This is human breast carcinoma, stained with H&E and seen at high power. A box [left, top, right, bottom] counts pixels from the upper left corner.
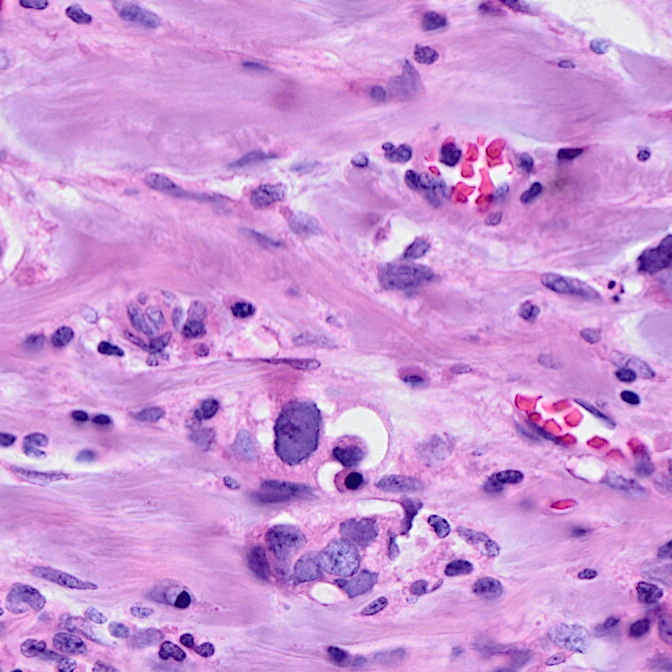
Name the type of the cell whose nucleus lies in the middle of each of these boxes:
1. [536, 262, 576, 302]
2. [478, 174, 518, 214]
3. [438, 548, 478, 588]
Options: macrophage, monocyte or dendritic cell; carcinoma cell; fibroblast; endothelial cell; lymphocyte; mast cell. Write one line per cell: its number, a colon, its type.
1: fibroblast
2: endothelial cell
3: lymphocyte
